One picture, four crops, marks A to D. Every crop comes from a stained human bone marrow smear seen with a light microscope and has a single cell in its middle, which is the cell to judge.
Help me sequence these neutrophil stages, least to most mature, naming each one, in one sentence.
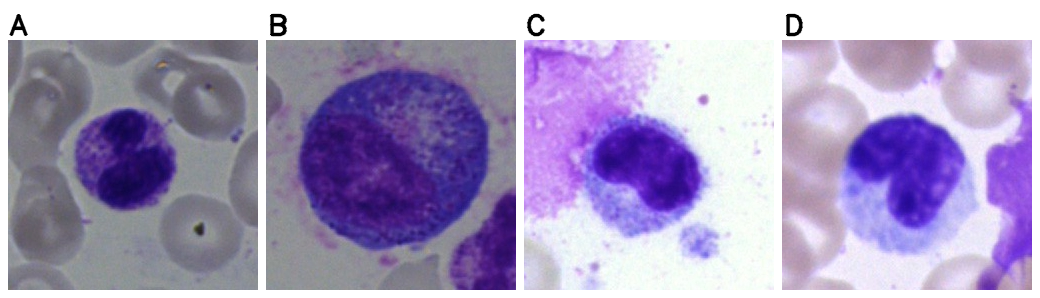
Ordered from least to most mature, the cells run crop B (a promyelocyte), crop C (a metamyelocyte), crop D (a band neutrophil) and crop A (a segmented neutrophil).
